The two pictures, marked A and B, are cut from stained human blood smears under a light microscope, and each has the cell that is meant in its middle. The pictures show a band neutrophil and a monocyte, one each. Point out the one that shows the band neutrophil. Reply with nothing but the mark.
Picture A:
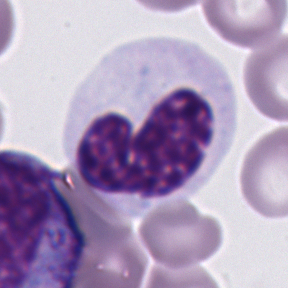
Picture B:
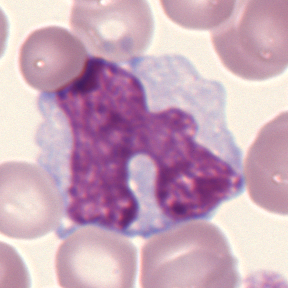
A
